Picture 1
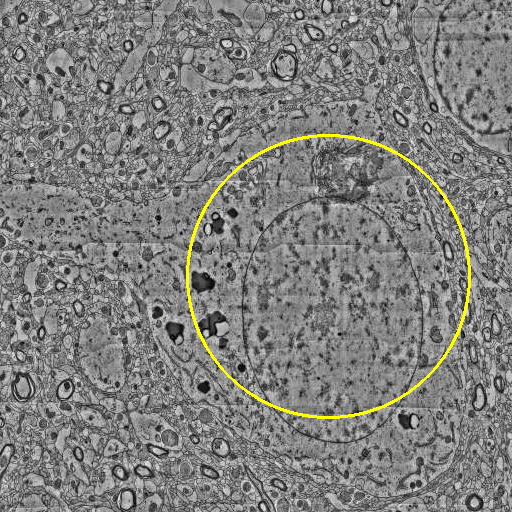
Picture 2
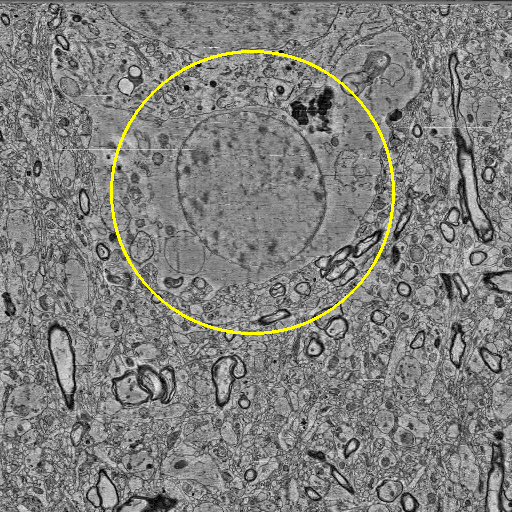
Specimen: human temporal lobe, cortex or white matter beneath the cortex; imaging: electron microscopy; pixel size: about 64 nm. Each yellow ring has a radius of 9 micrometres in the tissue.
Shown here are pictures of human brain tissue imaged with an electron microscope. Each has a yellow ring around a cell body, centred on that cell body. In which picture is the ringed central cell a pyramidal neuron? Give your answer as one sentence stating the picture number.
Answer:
My answer is picture 1, where the ringed cell at the centre is the one sought.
